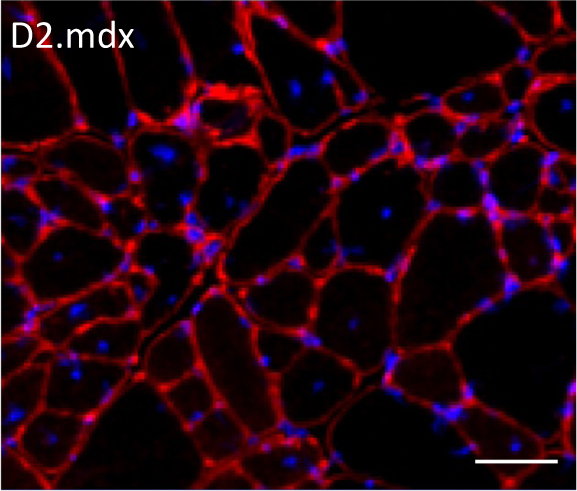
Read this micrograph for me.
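This is skeletal muscle cut across, each fibre outlined by a red ring around a dark interior. The fibres differ strongly in size, some large and rounded, others small and crowded together. Blue nuclei sit mostly along the red outlines and in the spaces between fibres, with some lying within the fibre interiors.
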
